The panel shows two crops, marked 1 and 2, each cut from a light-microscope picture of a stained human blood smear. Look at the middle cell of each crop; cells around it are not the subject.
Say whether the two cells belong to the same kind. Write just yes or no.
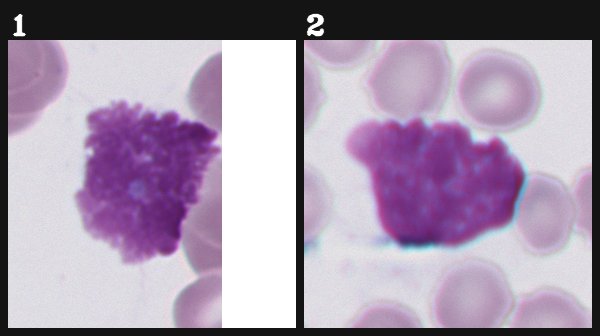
yes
